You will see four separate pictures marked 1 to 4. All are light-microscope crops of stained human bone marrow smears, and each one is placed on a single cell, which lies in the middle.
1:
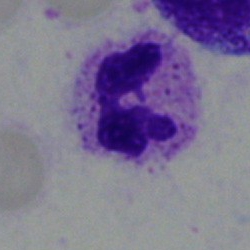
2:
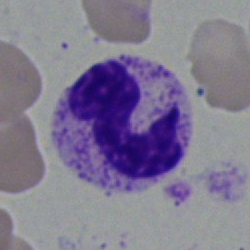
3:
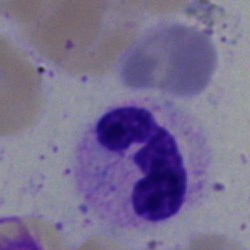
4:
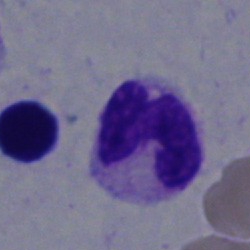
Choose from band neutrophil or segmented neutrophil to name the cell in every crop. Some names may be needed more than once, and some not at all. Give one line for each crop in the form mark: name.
1: segmented neutrophil
2: band neutrophil
3: segmented neutrophil
4: segmented neutrophil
